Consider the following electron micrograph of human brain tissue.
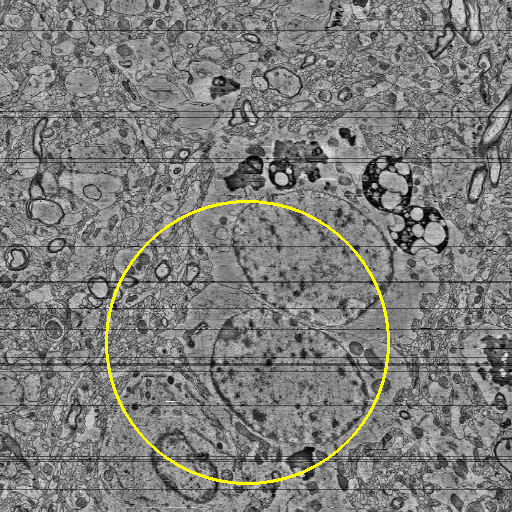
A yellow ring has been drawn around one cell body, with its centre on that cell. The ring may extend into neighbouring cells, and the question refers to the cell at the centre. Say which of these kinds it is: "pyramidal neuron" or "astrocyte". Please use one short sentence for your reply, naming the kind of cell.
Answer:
The centre of the ring falls on an astrocyte.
